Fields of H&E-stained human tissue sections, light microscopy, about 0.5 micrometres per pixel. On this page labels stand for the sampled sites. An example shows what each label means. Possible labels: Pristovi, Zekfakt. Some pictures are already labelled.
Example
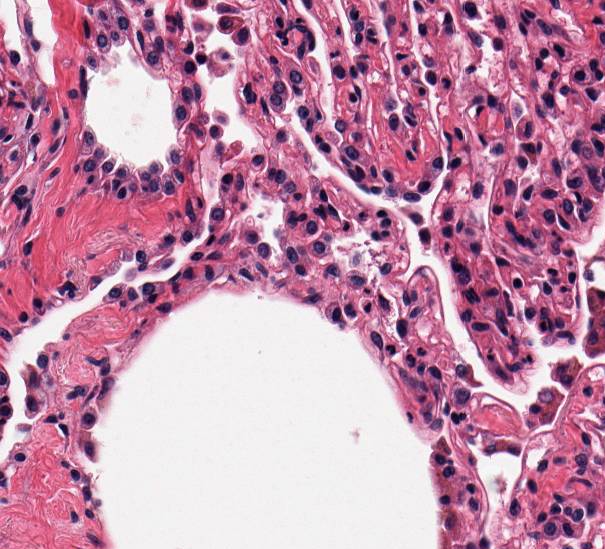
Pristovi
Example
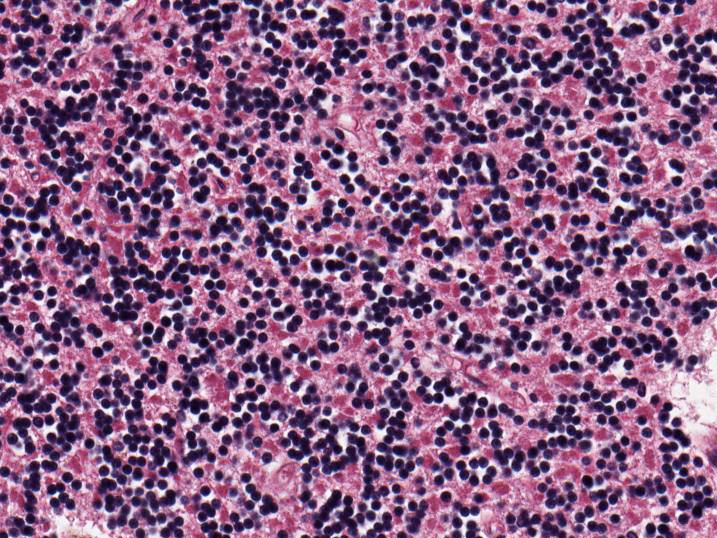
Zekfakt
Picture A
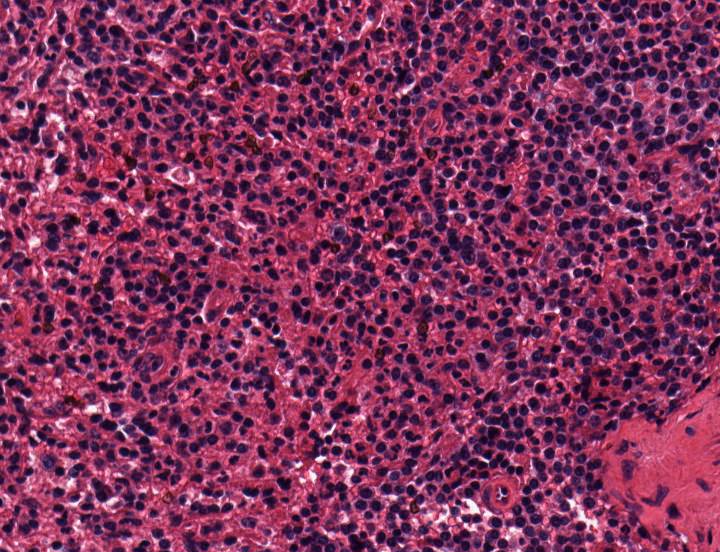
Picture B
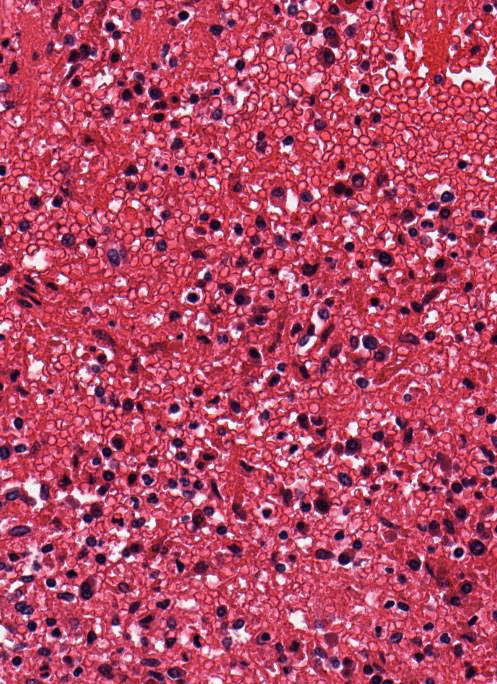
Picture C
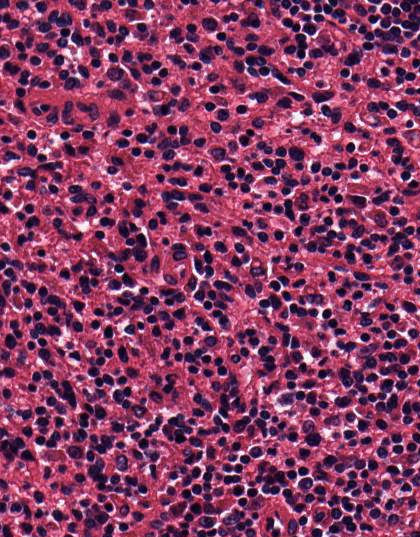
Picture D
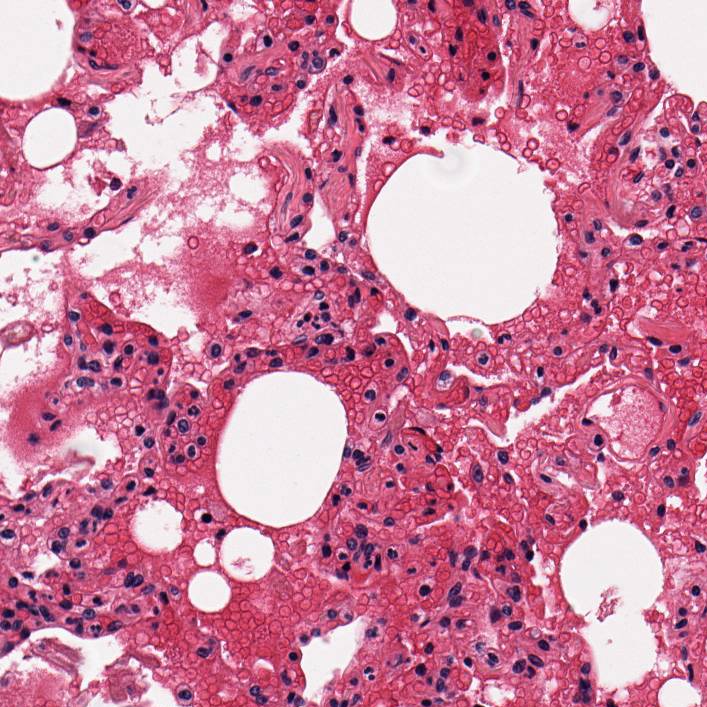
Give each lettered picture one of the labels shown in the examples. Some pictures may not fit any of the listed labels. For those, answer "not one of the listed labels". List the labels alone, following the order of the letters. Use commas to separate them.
not one of the listed labels, not one of the listed labels, not one of the listed labels, Pristovi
